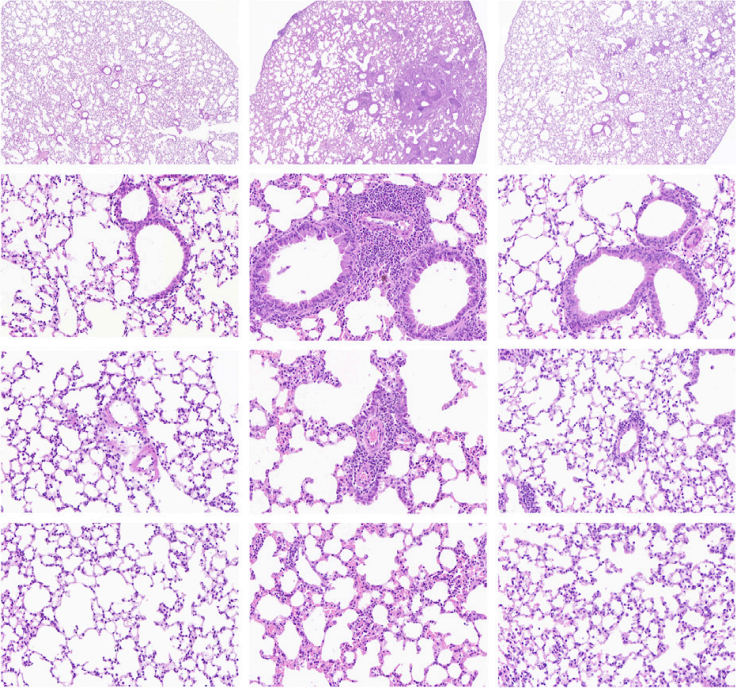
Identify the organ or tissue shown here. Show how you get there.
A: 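Low-power views show spongy tissue made of many thin-walled air spaces. High-power views show bronchioles lined by epithelium and small blood vessels among alveoli. The answer: lung.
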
